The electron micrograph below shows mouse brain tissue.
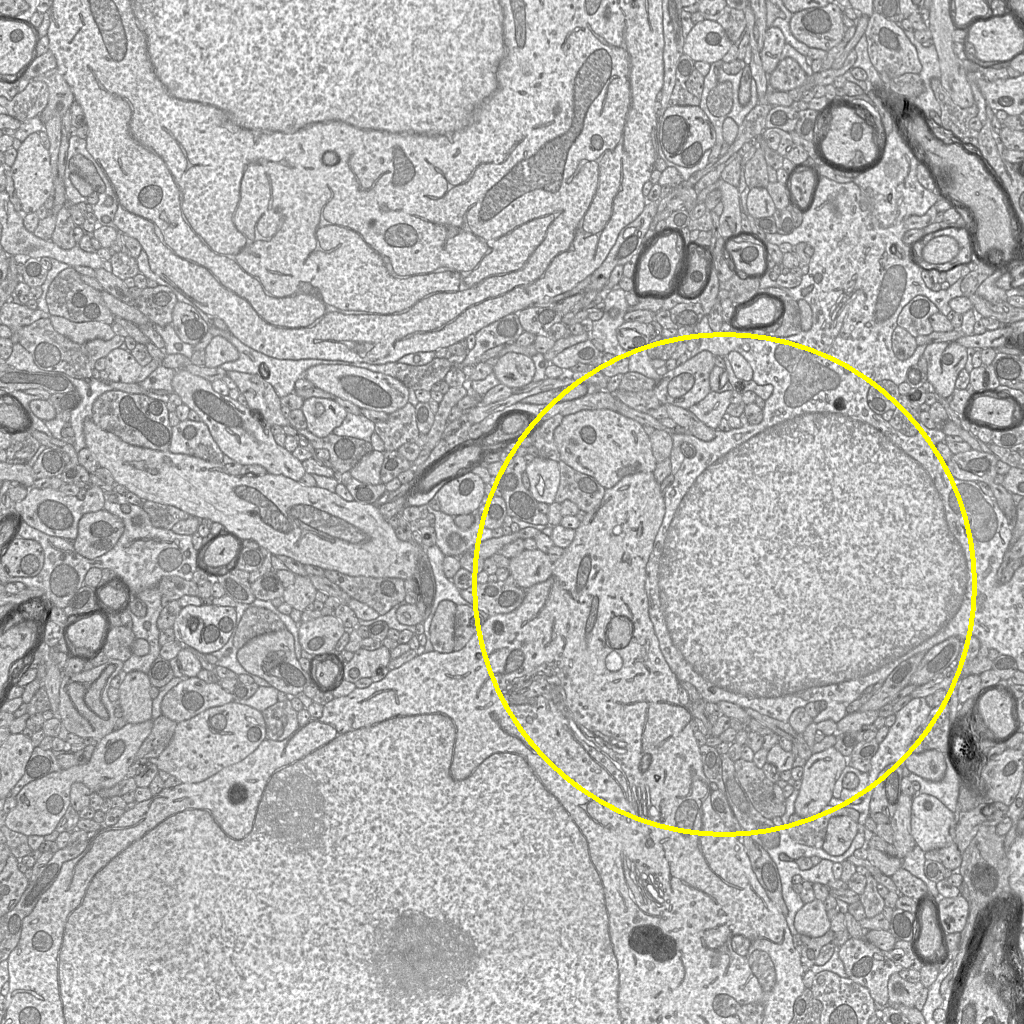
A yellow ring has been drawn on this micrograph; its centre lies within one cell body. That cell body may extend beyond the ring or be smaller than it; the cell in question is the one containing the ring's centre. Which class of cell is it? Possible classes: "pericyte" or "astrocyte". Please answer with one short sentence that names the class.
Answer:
In the centre of the ring sits an astrocyte.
